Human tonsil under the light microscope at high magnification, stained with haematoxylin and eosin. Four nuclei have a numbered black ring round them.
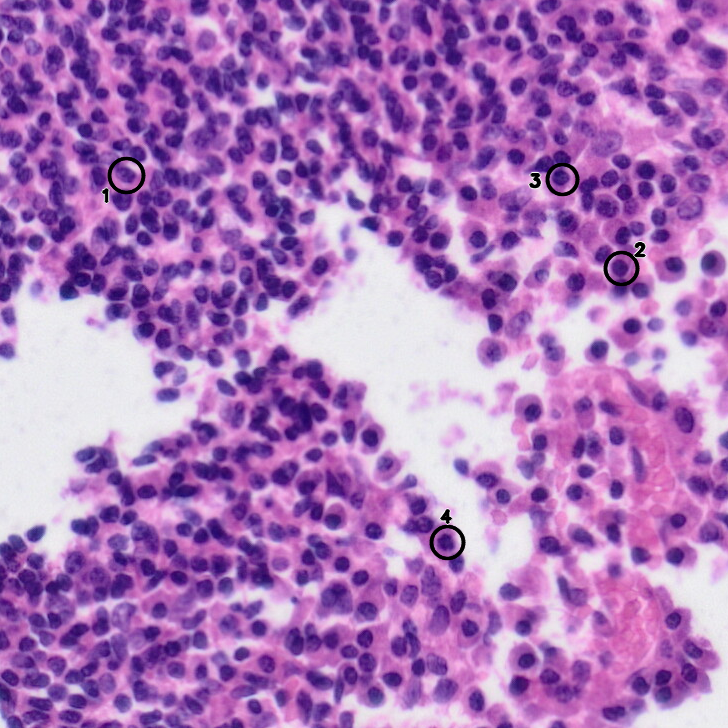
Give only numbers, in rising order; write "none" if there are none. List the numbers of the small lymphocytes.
1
